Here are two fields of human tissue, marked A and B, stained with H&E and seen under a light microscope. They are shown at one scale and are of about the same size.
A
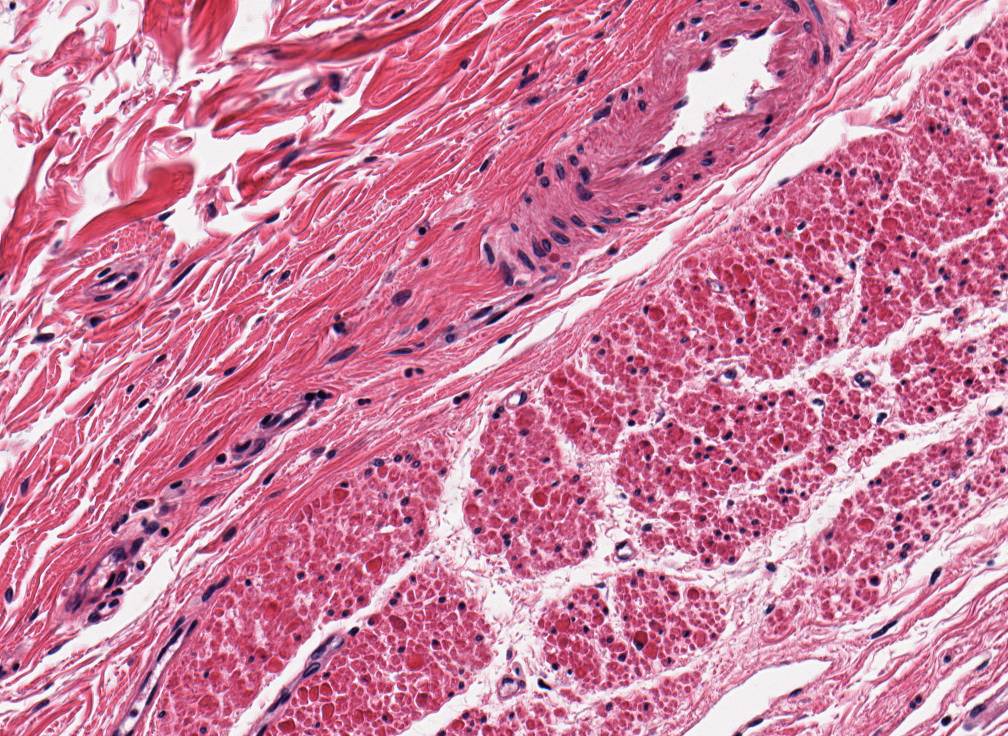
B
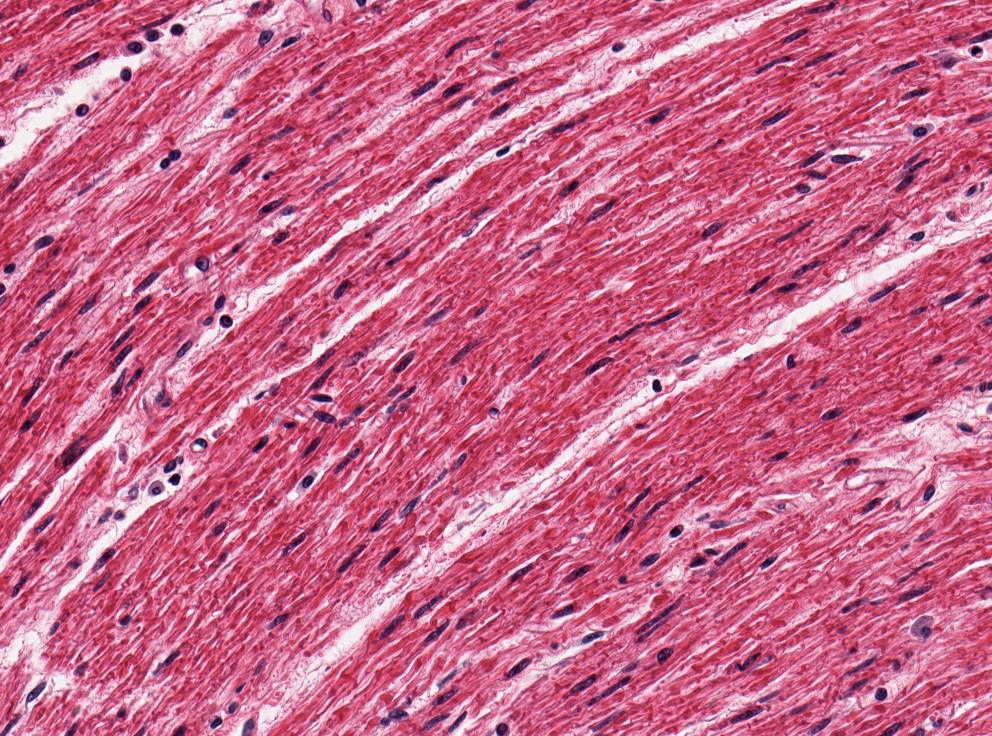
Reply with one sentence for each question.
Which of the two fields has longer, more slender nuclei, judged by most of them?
On the whole the nuclei of field B are more drawn out than those of field A.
